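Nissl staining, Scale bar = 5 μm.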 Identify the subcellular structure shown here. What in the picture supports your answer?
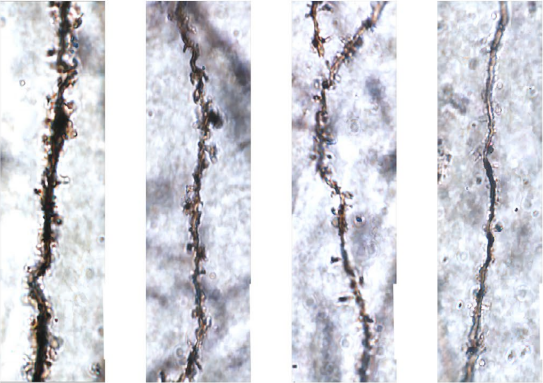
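Dendritic spines. Small short protrusions stick out along the sides of the process.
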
